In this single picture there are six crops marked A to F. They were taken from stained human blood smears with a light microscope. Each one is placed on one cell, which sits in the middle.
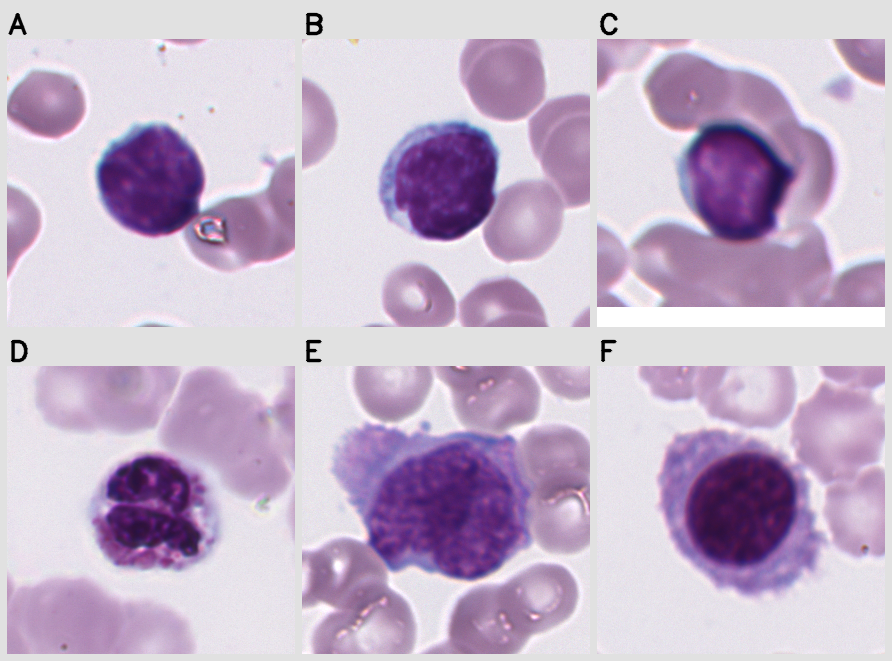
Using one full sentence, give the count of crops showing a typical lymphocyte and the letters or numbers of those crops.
Altogether, crops A, B and C show typical lymphocytes, giving three crops.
